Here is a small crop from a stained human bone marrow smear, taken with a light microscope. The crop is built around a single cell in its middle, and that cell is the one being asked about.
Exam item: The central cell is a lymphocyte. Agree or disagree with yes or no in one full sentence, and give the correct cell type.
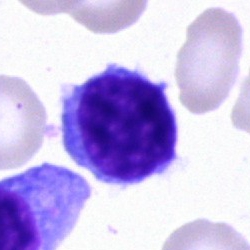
Yes, the cell at the center of the crop is a lymphocyte.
